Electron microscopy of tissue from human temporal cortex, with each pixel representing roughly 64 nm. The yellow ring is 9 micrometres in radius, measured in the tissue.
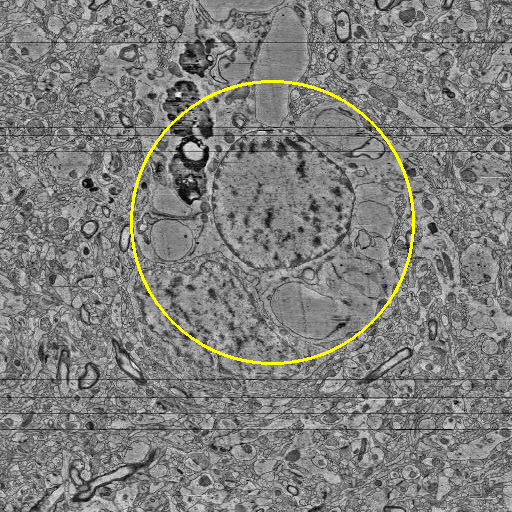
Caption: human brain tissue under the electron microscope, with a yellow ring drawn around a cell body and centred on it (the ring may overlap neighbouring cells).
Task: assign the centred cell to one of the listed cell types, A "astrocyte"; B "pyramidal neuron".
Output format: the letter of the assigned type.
A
